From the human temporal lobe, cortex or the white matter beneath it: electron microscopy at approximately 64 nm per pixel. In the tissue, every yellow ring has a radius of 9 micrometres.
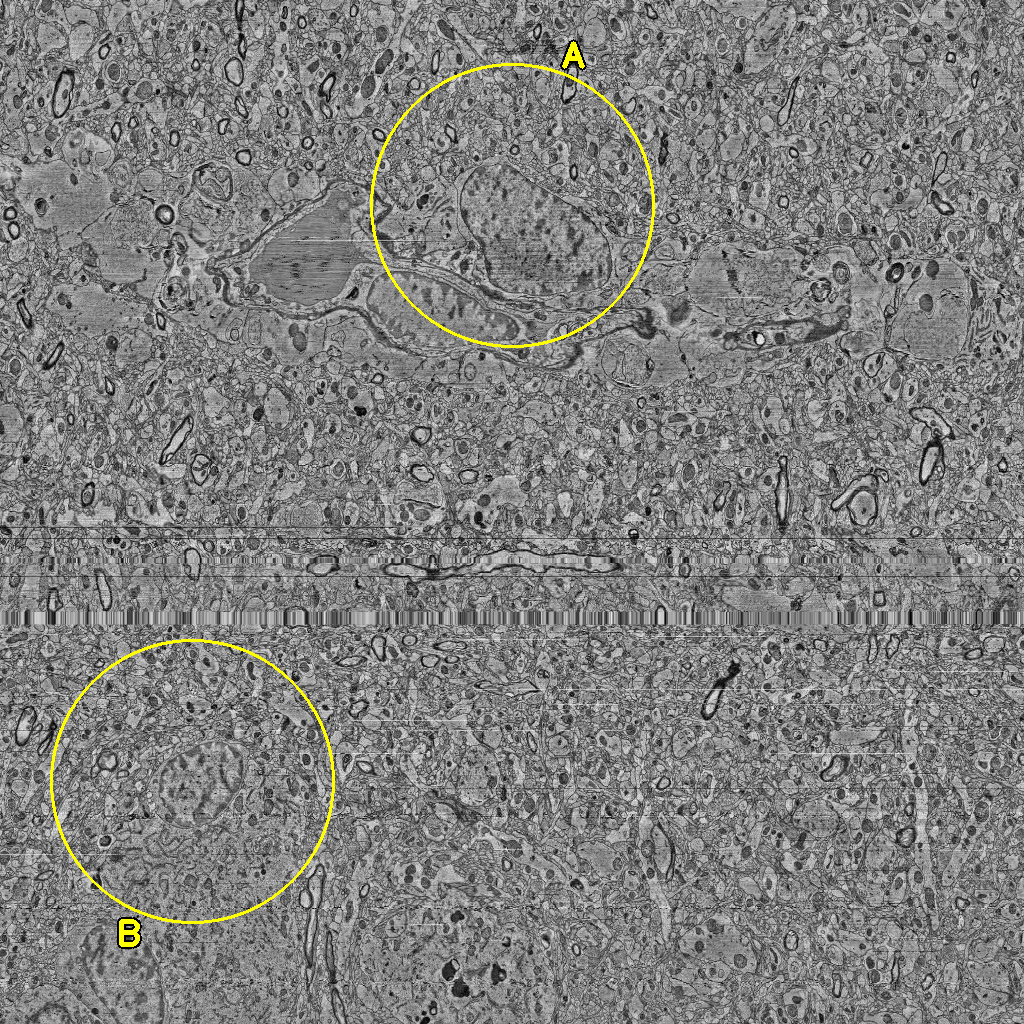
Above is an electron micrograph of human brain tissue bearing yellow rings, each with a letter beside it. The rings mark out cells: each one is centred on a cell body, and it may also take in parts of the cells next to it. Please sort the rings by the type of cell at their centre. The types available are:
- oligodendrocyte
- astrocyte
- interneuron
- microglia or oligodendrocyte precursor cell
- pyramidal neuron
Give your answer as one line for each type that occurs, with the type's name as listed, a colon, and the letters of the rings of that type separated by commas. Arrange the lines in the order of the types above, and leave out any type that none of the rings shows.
oligodendrocyte: B
microglia or oligodendrocyte precursor cell: A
